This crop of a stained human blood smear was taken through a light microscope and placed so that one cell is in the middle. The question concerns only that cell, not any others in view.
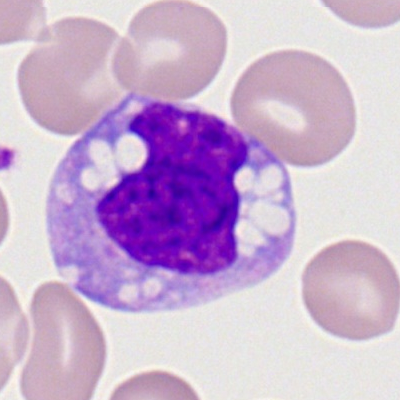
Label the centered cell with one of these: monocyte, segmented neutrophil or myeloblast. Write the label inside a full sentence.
At the crop's centre, the cell is a monocyte.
